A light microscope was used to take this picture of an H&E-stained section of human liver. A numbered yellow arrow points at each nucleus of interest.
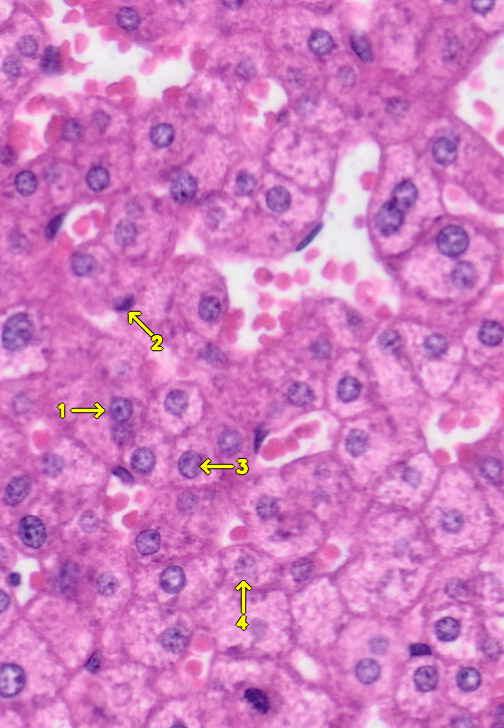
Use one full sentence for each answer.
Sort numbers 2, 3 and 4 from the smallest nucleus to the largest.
From smallest to largest, the order is 2, 4, 3.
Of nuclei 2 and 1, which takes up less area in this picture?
It is nucleus 2; nucleus 1 has about 2 times its area.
